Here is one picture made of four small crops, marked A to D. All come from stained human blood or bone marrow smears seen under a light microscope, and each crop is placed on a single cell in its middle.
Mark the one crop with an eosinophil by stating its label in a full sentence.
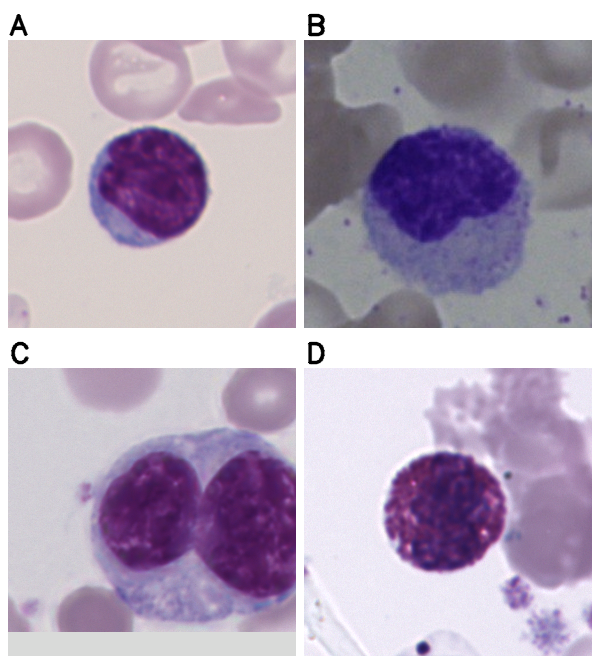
Crop D, and no other, shows an eosinophil.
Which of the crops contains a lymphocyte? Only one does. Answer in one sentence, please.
Crop A is the crop whose central cell is a lymphocyte.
